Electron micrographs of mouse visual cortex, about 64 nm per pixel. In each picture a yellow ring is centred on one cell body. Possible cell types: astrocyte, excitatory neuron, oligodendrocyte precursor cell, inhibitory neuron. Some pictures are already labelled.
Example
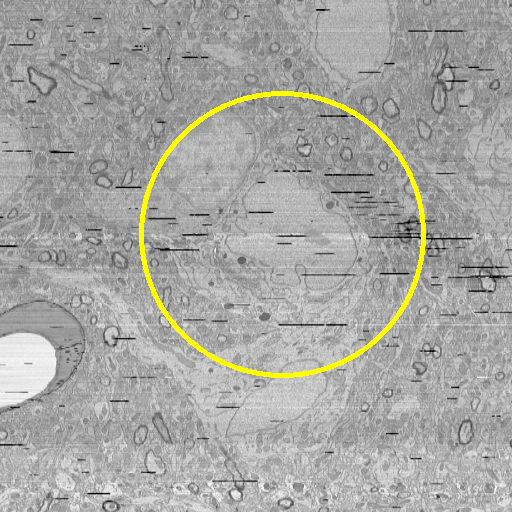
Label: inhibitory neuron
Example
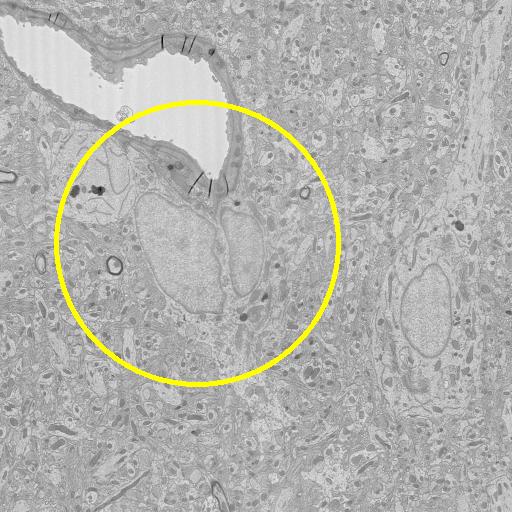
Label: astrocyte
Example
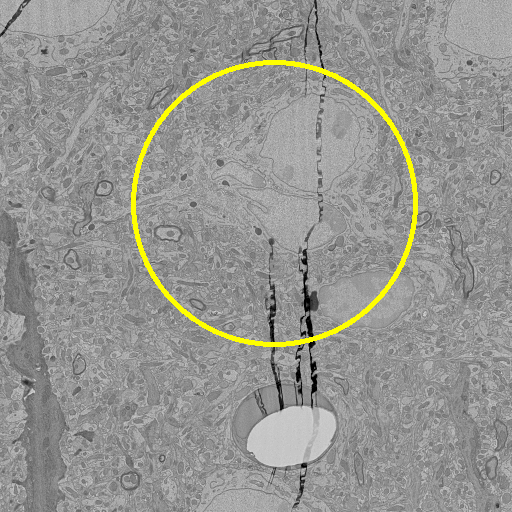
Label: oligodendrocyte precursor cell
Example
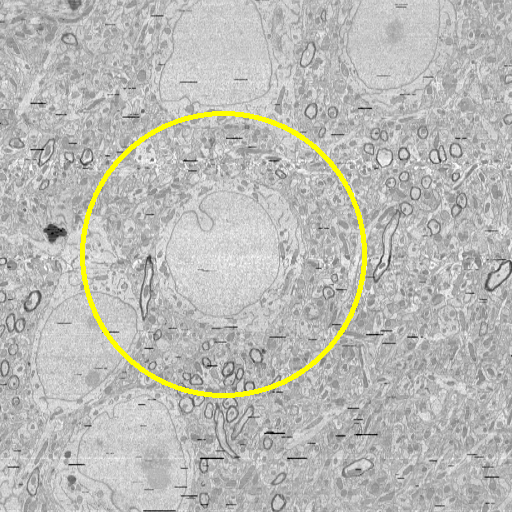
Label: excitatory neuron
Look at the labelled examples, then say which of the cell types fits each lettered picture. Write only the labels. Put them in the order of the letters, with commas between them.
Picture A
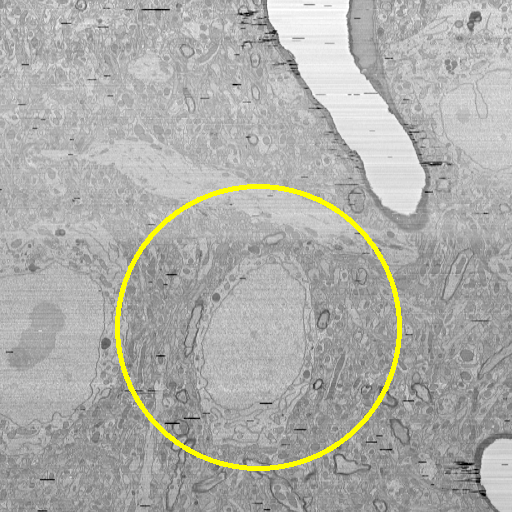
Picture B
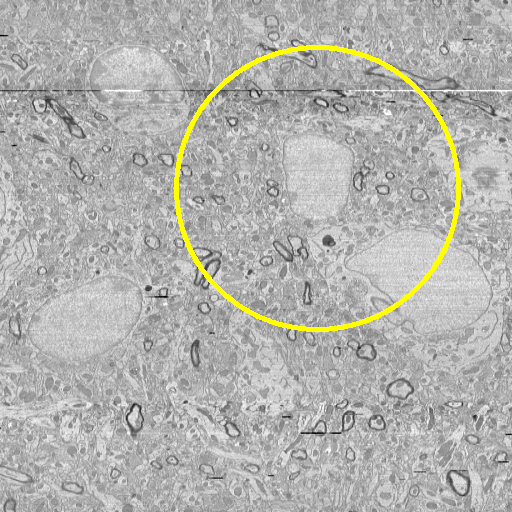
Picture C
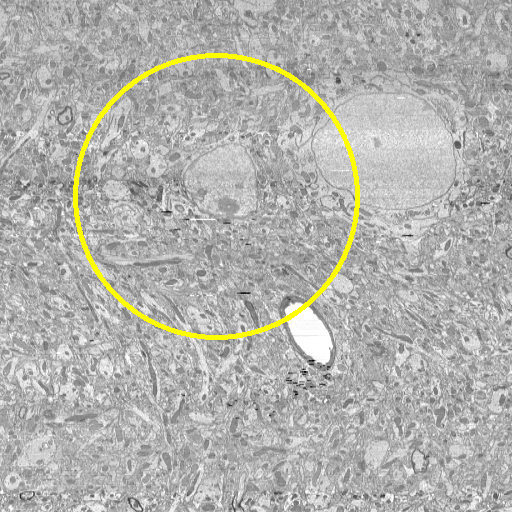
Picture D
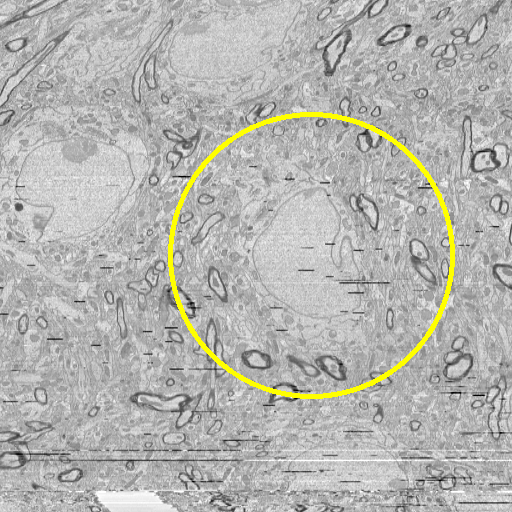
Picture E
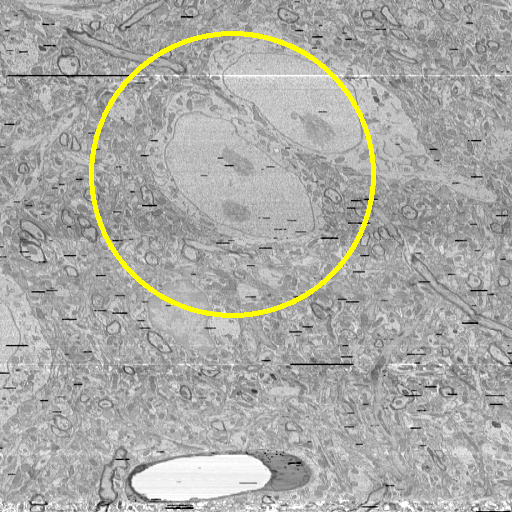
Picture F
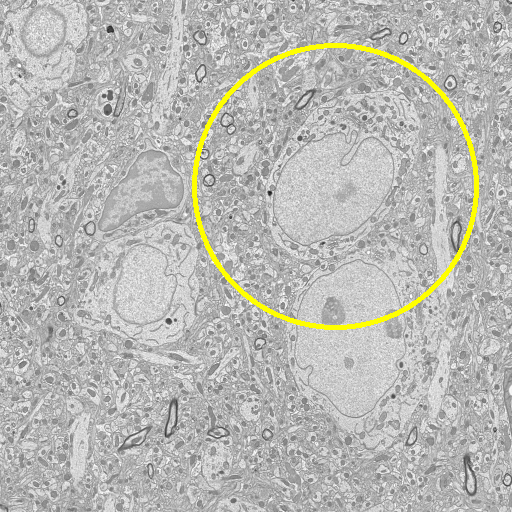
inhibitory neuron, astrocyte, oligodendrocyte precursor cell, excitatory neuron, excitatory neuron, inhibitory neuron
